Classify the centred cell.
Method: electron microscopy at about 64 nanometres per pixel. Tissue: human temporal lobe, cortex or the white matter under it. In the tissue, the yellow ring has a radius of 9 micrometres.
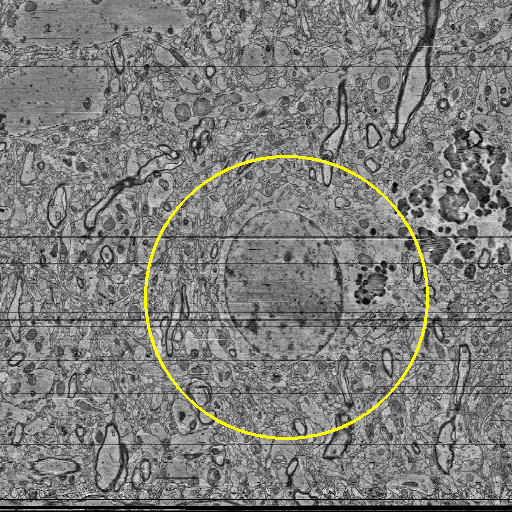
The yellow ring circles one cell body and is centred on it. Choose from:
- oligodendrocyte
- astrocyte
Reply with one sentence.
The ring is centred on an astrocyte.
